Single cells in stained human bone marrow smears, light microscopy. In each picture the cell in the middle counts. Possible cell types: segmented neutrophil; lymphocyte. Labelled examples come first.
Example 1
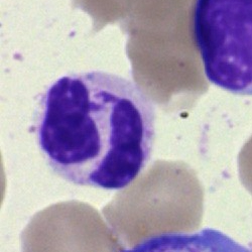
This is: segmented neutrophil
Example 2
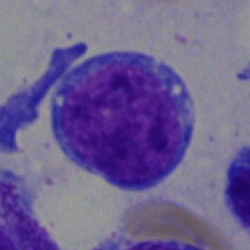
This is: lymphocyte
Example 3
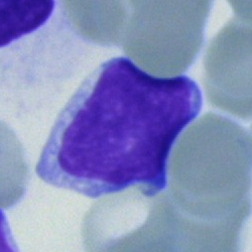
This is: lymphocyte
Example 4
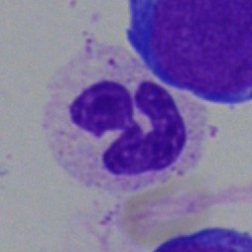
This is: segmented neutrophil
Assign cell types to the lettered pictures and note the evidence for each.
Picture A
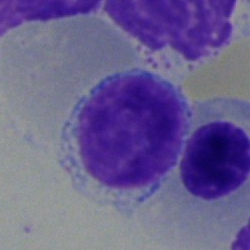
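lymphocyte. Evidence: The cytoplasm forms only a narrow pale blue rim around the nucleus.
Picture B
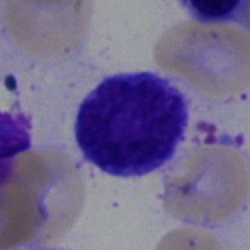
lymphocyte. Evidence: Cytoplasm is very scant, with at most a thin rim visible around the nucleus.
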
